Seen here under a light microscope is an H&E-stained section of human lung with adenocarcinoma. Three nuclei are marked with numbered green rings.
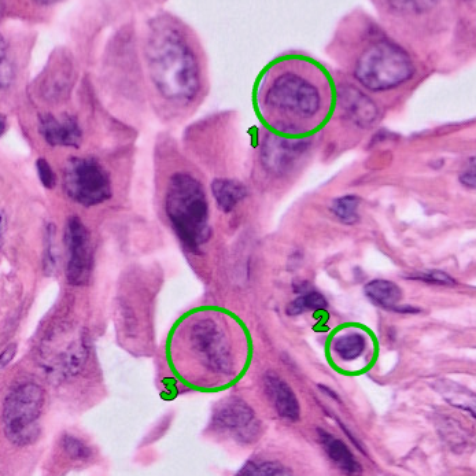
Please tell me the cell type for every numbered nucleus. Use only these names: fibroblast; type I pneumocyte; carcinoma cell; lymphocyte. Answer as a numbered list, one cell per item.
1. carcinoma cell
2. lymphocyte
3. carcinoma cell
